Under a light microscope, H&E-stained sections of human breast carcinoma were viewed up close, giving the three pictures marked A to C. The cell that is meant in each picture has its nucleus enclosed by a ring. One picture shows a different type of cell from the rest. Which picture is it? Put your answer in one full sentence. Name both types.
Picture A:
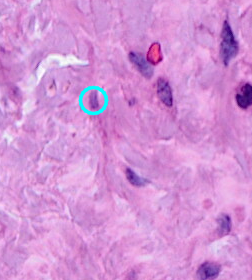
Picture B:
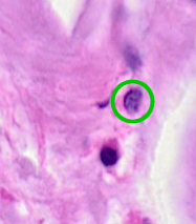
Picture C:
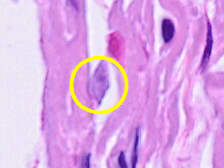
Unlike the rest, which show fibroblasts, picture B shows a mast cell.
